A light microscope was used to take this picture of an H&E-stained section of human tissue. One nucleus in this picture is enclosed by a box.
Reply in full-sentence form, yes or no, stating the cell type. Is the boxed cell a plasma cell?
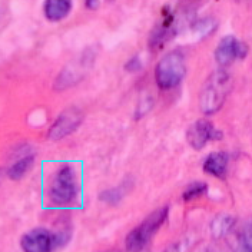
Yes, the statement that the boxed cell is a plasma cell is correct.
